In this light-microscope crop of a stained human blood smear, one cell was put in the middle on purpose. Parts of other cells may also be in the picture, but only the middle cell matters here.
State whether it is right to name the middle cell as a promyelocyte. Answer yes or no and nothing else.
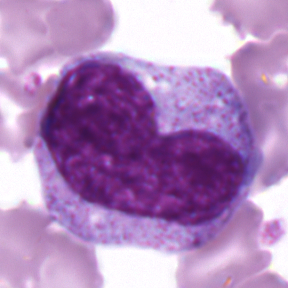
yes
